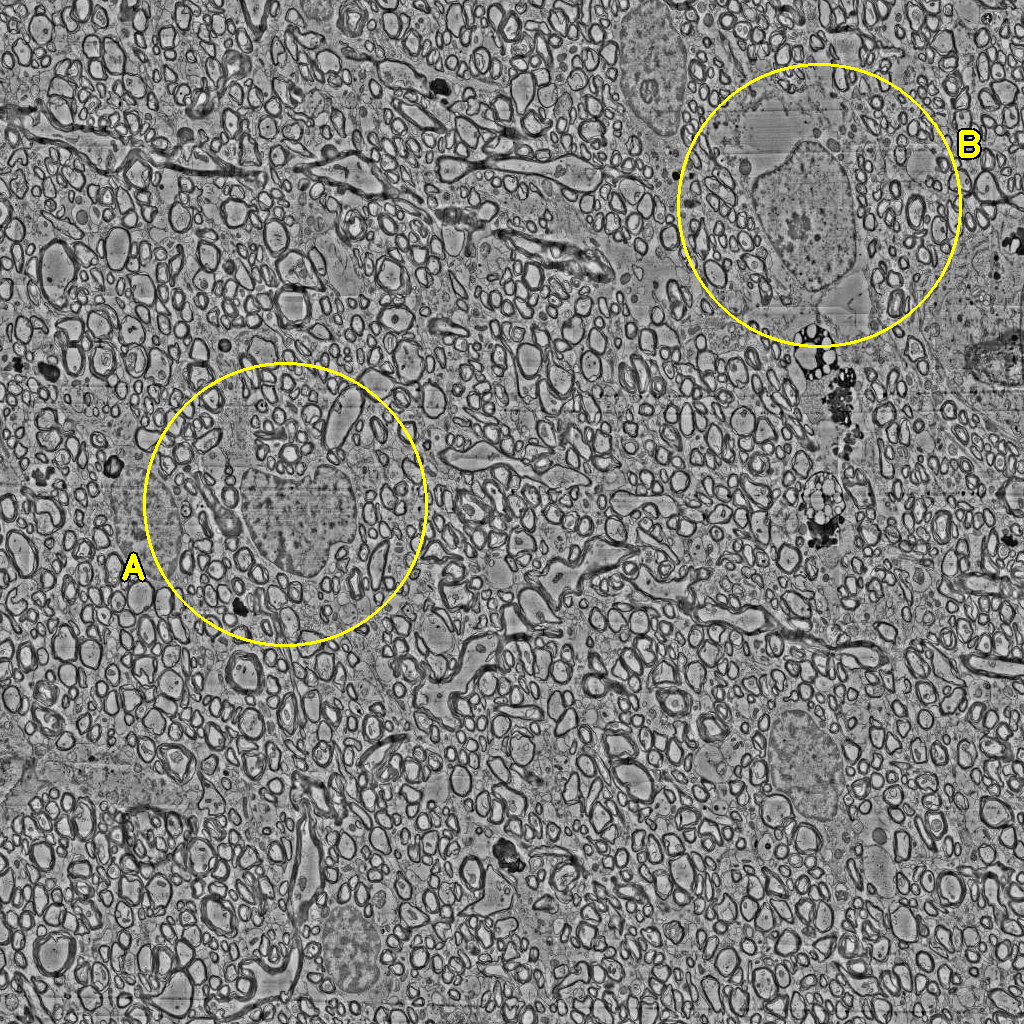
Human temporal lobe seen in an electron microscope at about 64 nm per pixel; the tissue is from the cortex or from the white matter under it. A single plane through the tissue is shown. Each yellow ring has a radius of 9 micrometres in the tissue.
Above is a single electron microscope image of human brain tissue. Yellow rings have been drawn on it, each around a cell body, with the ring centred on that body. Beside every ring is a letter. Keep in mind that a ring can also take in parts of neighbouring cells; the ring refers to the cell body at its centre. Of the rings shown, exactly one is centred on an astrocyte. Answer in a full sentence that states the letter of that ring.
The cell at the centre of ring B is the one asked for.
